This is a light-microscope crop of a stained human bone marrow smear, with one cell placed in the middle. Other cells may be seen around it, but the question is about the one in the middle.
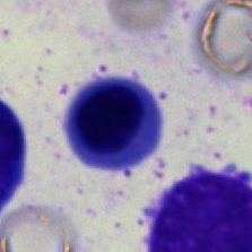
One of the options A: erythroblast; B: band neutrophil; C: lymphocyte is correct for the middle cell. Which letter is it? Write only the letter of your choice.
A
